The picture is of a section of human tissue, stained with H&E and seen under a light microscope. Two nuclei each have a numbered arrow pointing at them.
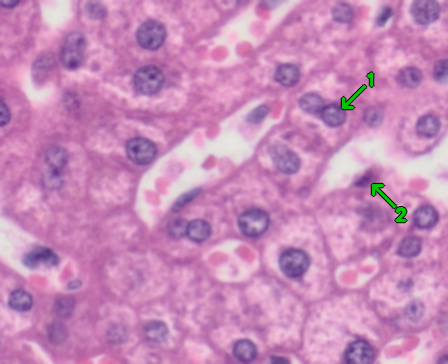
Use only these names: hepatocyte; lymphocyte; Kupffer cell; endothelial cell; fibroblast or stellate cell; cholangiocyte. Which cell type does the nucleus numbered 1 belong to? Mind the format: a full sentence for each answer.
Here, the cell given the number 1 is a hepatocyte.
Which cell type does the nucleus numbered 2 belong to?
The cell identified by number 2 is a Kupffer cell.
